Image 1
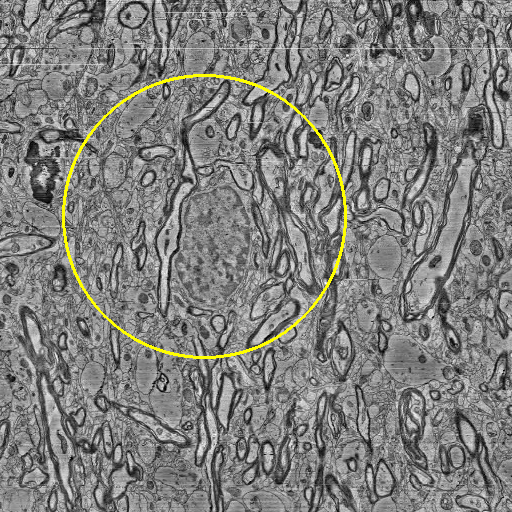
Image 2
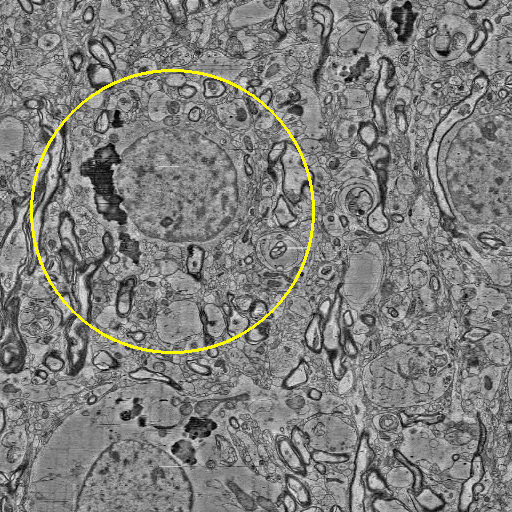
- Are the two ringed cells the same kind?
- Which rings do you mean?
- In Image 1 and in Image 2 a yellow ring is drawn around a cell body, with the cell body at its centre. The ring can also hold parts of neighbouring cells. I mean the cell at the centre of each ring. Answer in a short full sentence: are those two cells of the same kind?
Yes, both cells are of the same kind.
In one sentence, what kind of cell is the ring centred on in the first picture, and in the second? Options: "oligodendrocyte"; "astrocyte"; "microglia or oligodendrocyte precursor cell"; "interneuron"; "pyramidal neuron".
Each of the two cells is an oligodendrocyte.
